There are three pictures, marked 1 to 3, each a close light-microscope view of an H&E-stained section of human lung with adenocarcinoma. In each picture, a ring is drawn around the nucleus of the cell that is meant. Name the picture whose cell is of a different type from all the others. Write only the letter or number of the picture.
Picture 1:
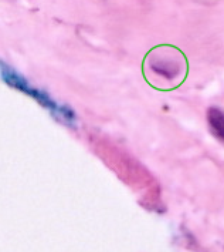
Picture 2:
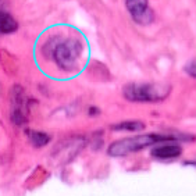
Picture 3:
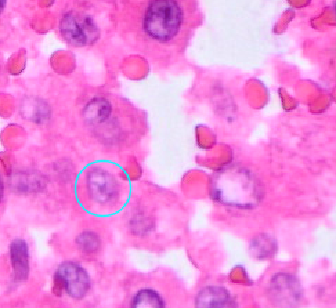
3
